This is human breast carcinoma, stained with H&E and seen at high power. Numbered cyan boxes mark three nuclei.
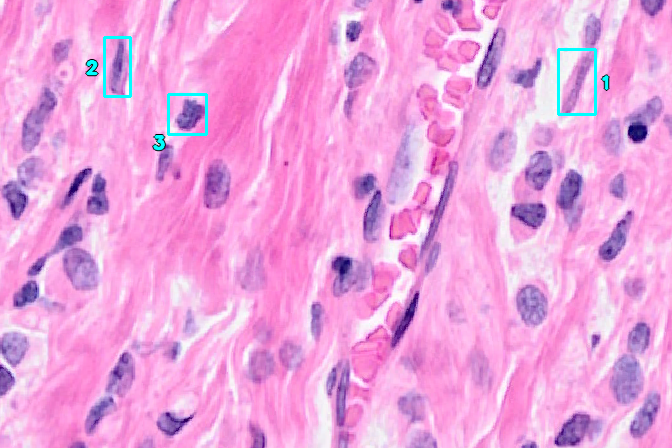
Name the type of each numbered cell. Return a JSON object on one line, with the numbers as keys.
{"1": "fibroblast", "2": "fibroblast", "3": "lymphocyte"}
